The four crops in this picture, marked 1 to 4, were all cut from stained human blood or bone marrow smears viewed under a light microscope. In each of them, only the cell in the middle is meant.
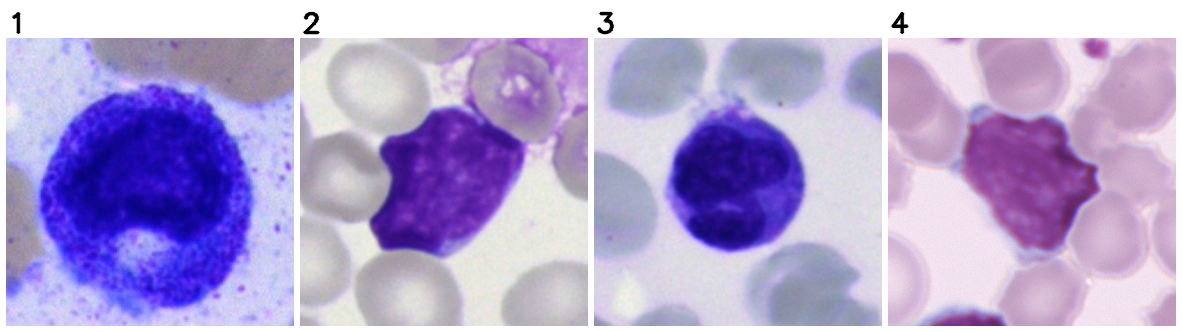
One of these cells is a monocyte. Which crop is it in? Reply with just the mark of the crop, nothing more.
3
